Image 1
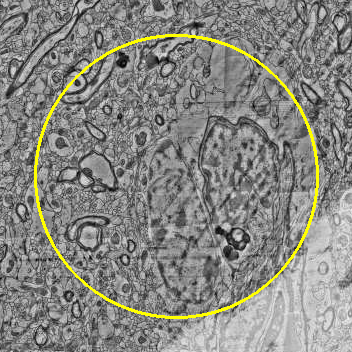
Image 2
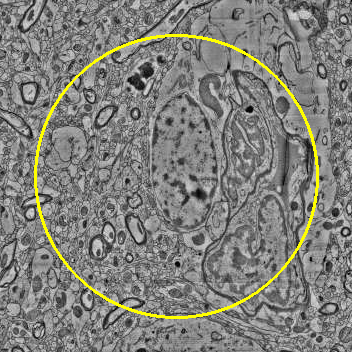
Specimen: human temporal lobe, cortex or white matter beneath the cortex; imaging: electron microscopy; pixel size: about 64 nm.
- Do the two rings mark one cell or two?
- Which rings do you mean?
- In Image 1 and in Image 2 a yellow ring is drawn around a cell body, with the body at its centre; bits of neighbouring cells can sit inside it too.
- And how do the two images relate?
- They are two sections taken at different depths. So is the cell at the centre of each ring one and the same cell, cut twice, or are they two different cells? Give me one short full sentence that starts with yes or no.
Yes, one cell appears twice, once in each ring.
